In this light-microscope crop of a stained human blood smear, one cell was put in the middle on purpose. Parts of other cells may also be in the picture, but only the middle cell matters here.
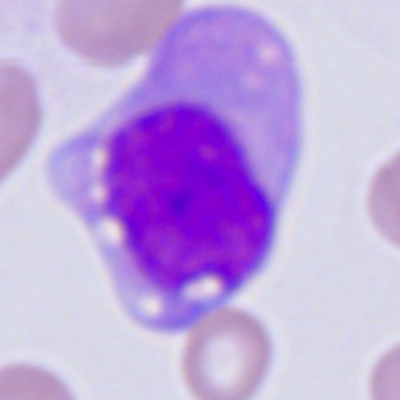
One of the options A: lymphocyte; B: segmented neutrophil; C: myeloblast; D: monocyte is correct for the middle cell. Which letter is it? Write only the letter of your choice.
D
